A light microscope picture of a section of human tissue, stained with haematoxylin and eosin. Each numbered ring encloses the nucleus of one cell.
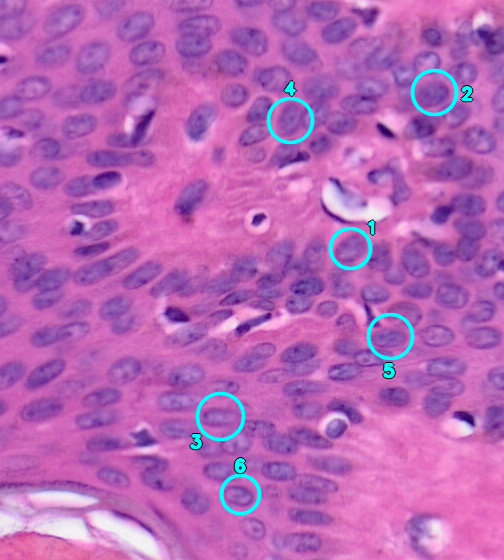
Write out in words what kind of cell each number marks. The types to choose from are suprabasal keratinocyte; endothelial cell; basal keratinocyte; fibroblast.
Cells 1, 2, 4 and 5 are basal keratinocytes. Cells 3 and 6 are suprabasal keratinocytes.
